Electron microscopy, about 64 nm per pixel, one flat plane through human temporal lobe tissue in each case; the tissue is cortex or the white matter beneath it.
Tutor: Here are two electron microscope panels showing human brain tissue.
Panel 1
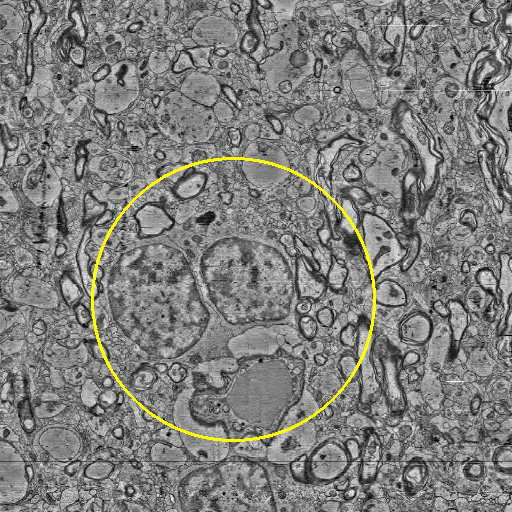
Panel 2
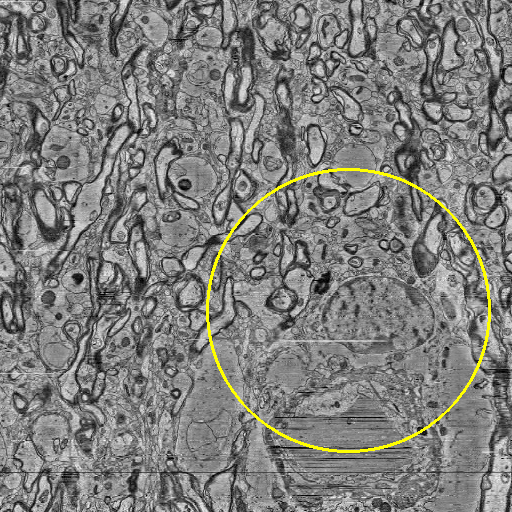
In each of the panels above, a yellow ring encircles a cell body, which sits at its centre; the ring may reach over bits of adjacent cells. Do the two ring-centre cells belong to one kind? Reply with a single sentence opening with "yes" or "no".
No, the two cells sitting at the ring centres in the panels belong to two kinds.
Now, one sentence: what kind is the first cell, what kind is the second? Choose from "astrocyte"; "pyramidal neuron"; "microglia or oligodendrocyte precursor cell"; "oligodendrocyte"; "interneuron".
The first picture has an oligodendrocyte at its ring centre, and the second has a microglial cell or oligodendrocyte precursor cell.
